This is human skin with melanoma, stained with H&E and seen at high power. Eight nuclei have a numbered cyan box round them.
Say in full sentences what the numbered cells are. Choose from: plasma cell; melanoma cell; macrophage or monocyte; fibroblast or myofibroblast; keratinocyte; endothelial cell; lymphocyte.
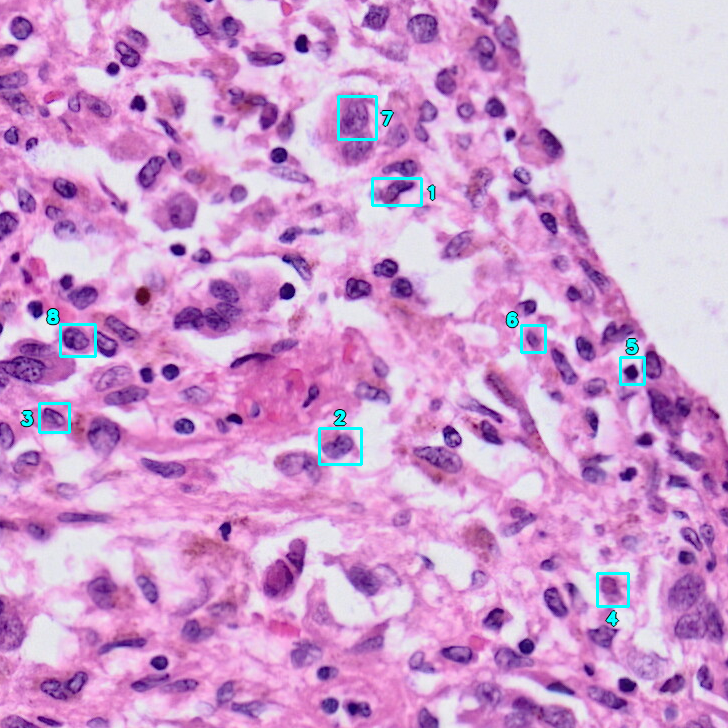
Cell 1 is a macrophage or monocyte, cell 2 is a macrophage or monocyte, cell 3 is a macrophage or monocyte, cell 4 is a melanoma cell, cell 5 is a lymphocyte, cell 6 is a macrophage or monocyte, cell 7 is a melanoma cell and cell 8 is a macrophage or monocyte.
